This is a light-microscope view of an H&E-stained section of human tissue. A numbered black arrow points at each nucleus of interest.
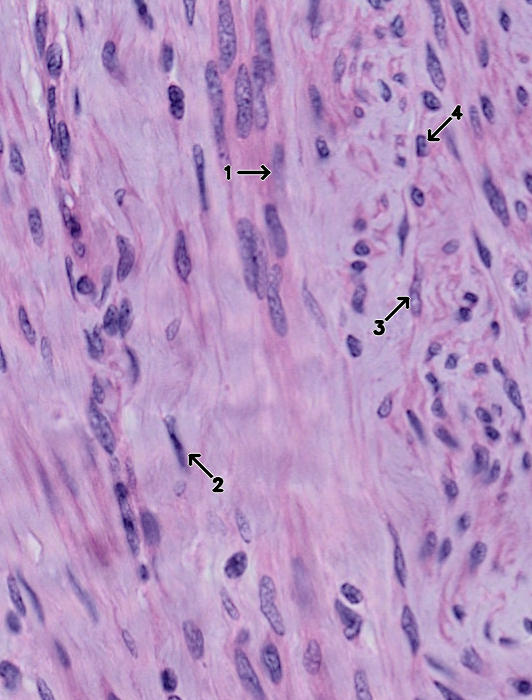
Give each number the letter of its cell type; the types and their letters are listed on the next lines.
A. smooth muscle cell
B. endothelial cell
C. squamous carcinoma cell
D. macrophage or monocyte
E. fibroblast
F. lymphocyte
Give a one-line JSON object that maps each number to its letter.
{"1": "A", "2": "E", "3": "A", "4": "A"}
